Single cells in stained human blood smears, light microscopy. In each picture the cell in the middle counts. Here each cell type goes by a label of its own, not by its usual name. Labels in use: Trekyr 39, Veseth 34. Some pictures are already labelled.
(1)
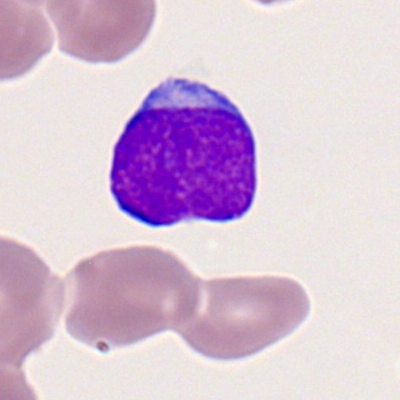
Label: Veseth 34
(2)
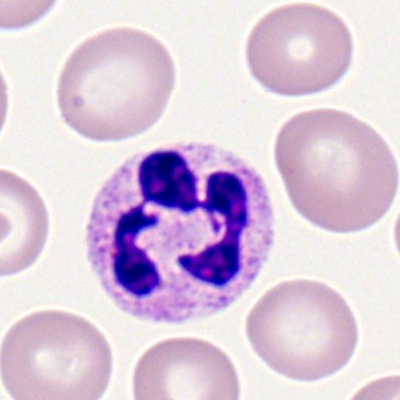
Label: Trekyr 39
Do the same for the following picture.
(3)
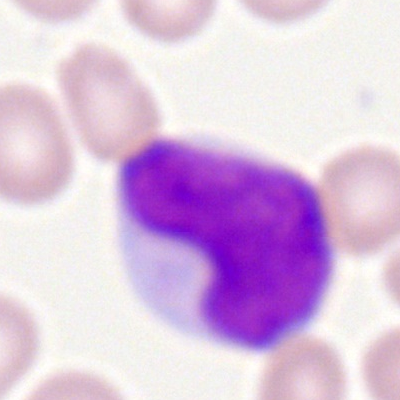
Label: Veseth 34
